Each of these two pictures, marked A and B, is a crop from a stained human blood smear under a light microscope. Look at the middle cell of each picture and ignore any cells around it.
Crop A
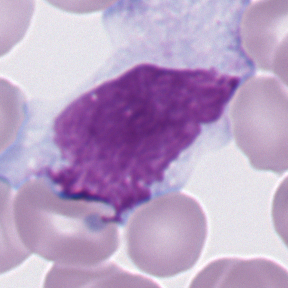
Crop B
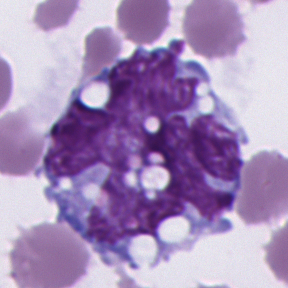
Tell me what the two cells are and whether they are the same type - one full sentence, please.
Yes, the cells centred in the two crops are both monocytes.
